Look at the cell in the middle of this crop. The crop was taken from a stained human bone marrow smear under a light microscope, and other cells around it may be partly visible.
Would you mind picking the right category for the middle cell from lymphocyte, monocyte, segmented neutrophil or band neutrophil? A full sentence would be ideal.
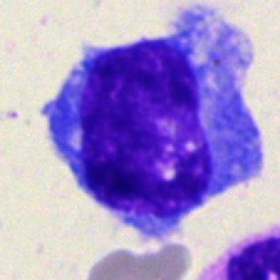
The target cell in the middle of the crop is a monocyte.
